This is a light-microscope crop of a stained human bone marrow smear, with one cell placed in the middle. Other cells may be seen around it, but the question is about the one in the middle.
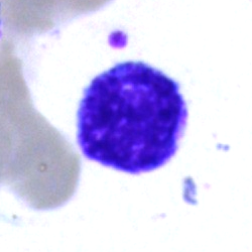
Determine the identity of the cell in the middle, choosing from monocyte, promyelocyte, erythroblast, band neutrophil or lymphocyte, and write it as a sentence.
The cell the crop is centered on is a lymphocyte.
